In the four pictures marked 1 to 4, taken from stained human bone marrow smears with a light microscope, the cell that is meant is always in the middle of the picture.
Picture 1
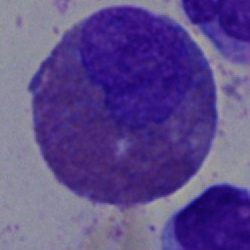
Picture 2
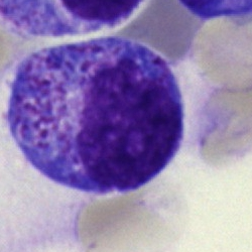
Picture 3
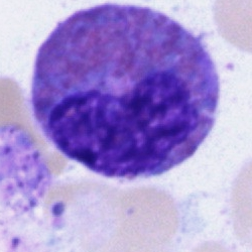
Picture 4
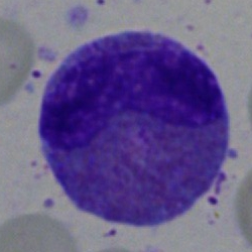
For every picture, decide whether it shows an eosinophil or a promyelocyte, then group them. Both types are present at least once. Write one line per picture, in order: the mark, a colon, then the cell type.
1: eosinophil
2: promyelocyte
3: eosinophil
4: eosinophil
